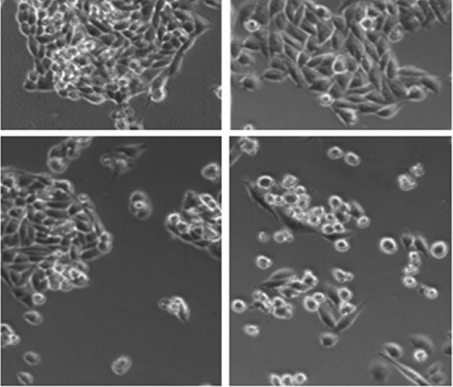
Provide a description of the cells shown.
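Four phase contrast views of cultured cells growing flat on the dish. In some fields the cells form dense, cohesive colonies of polygonal to spindle-shaped cells with grey cytoplasm and pale nuclei. In others many cells have detached from the colonies and lie scattered as small, round, bright-rimmed cells.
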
